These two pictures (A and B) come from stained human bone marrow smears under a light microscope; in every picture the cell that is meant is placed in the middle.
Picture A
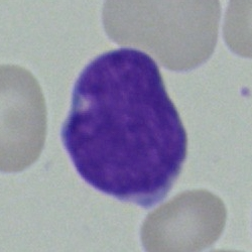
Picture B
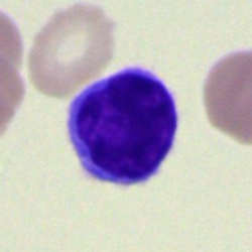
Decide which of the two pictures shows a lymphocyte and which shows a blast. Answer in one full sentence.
In picture A the cell is a blast; in picture B, a lymphocyte.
